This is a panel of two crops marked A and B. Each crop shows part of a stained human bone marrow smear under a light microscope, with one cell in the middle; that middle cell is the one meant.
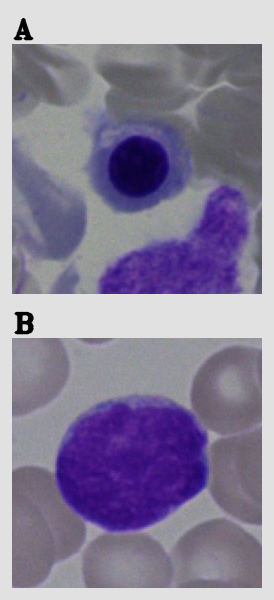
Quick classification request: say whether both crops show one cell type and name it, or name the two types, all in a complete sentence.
No, the cells are a normoblast in crop A and a blast in crop B.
